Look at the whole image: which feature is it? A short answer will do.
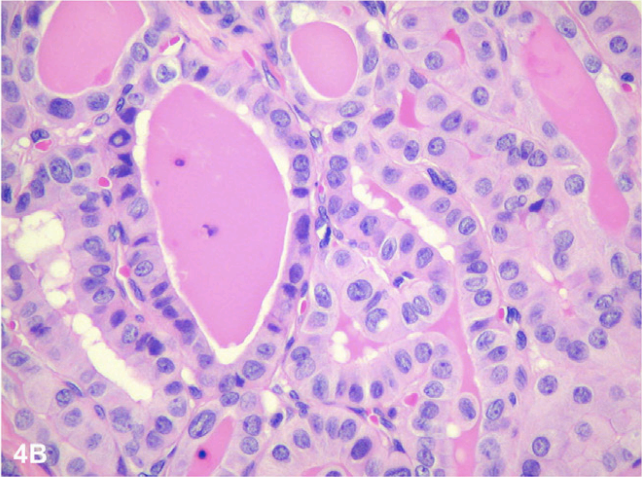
follicles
